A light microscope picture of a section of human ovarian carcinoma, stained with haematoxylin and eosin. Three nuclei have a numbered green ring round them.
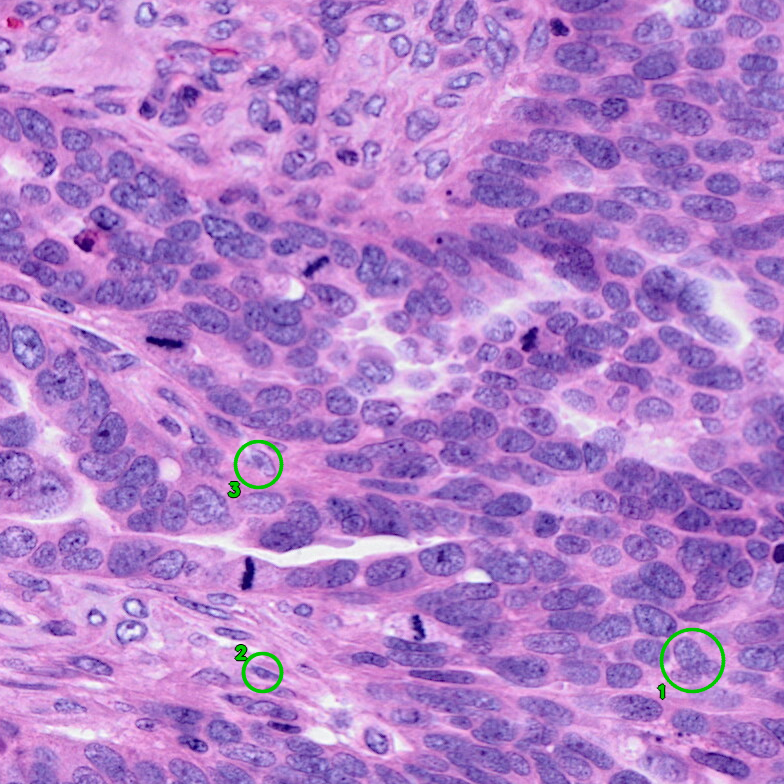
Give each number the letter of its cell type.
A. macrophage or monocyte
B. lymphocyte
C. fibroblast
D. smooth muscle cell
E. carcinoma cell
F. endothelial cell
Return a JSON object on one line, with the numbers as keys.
{"1": "E", "2": "C", "3": "C"}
